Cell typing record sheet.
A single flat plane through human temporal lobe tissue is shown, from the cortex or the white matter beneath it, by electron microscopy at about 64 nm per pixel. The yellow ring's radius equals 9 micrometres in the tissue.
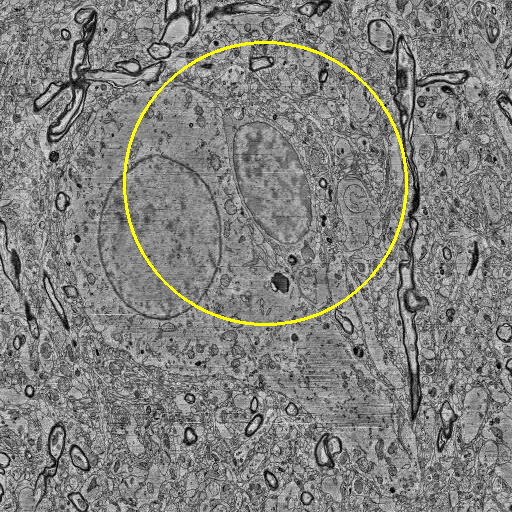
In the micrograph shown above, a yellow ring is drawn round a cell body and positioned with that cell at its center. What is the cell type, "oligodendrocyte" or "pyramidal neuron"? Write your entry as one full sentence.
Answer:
The cell body at the center of the ring belongs to an oligodendrocyte.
